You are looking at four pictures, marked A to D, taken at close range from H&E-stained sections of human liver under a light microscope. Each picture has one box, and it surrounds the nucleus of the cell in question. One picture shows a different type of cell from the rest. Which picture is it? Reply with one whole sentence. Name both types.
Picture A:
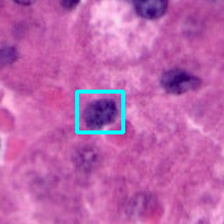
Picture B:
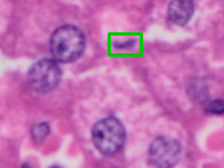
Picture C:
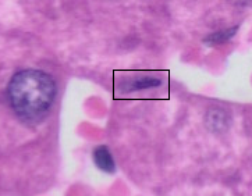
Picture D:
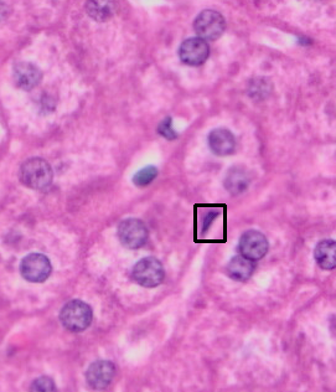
Picture B differs, because its cell is an endothelial cell and the rest are “fibroblasts or stellate cells”.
